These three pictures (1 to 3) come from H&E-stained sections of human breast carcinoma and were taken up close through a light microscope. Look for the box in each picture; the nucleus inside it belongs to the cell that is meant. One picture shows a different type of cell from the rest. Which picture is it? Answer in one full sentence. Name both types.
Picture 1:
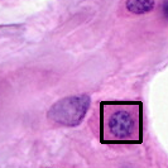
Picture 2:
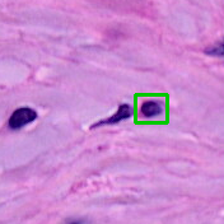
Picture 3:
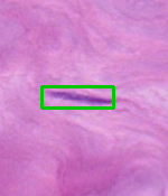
Picture 3 is the odd one out: it shows a fibroblast, while the others show mast cells.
